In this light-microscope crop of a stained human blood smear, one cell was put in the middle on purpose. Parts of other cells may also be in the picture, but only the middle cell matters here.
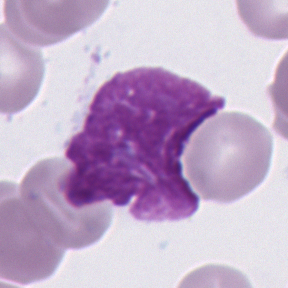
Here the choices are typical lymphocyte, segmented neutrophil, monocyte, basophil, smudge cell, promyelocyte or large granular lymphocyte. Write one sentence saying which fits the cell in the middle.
The cell of interest, located centrally, is a smudge cell.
